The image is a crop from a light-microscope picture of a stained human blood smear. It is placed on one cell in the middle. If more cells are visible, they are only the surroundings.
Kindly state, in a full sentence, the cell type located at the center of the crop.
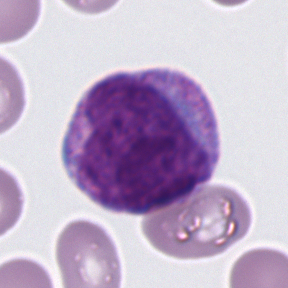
Standing at the centre of this crop is an atypical promyelocyte.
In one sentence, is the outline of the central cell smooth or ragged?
The border of this cell runs smooth and free of any projections.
